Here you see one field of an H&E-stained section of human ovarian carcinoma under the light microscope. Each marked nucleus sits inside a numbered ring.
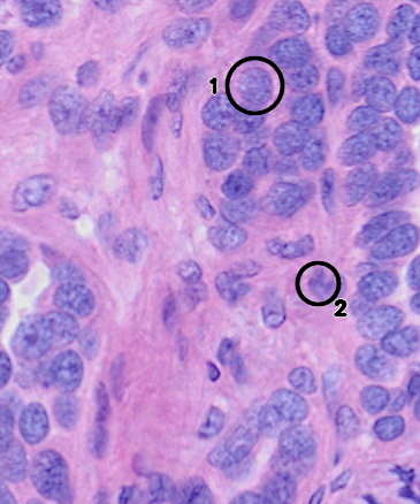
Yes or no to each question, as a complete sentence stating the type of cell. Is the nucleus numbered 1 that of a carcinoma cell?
Yes, the marked cell number 1 is a carcinoma cell.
